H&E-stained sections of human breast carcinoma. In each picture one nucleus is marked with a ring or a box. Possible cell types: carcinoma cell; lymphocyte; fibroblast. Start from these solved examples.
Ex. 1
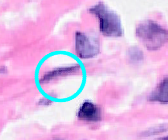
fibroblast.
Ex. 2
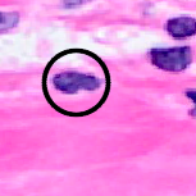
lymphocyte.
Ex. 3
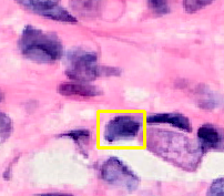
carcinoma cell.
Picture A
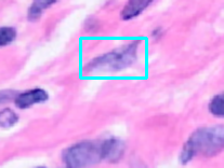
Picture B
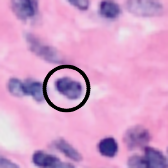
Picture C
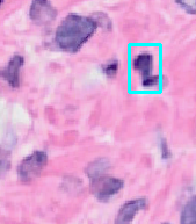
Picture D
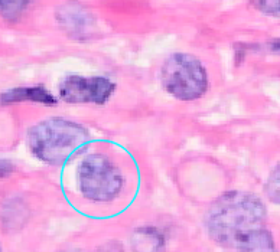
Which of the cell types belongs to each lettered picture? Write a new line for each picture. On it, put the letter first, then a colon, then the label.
A: fibroblast.
B: lymphocyte.
C: lymphocyte.
D: carcinoma cell.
